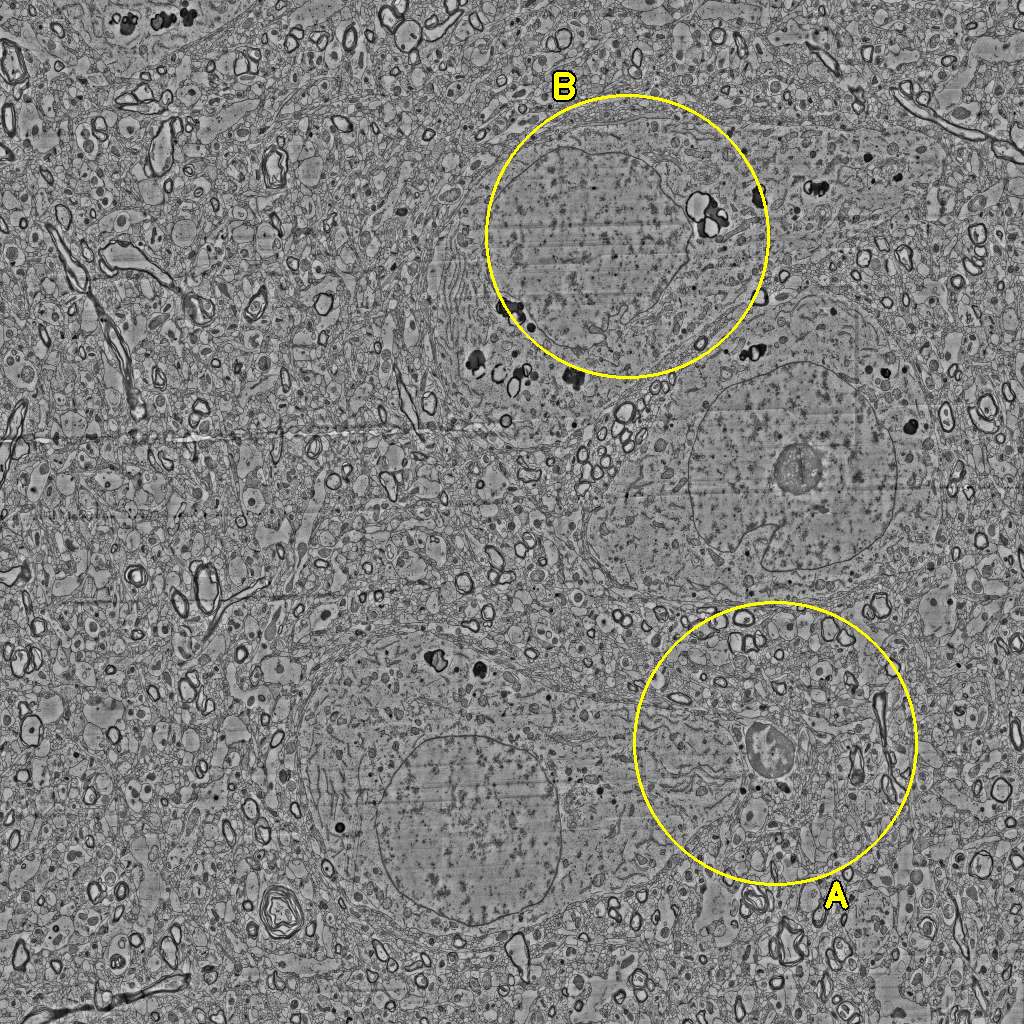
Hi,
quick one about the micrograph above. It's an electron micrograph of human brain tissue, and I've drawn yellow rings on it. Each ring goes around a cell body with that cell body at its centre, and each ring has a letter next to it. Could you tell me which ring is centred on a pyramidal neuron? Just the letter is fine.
B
